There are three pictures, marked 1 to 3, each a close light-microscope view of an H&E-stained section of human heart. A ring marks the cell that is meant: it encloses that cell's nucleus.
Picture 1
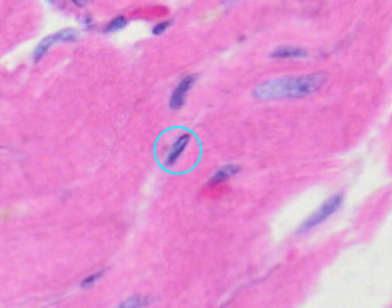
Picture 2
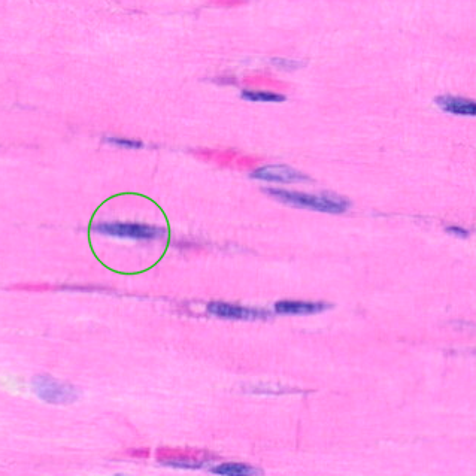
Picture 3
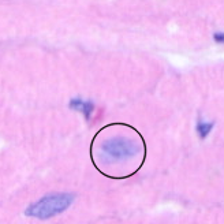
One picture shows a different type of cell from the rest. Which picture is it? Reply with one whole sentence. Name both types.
All pictures except 3 show endothelial cells; picture 3 shows a cardiomyocyte.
